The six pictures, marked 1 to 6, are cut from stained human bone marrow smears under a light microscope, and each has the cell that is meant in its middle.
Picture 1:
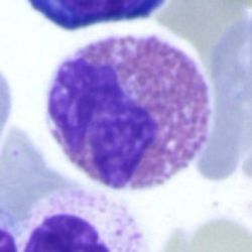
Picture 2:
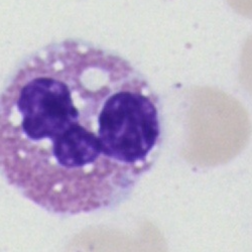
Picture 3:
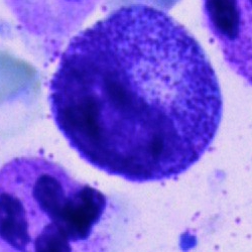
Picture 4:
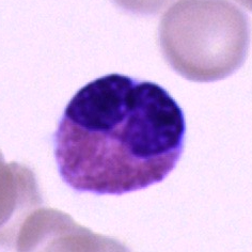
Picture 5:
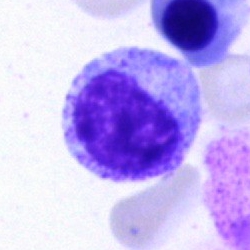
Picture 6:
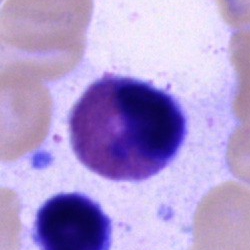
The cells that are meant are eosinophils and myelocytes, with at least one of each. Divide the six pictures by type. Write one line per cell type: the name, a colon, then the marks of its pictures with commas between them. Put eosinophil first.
eosinophil: 1, 2, 4, 6
myelocyte: 3, 5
